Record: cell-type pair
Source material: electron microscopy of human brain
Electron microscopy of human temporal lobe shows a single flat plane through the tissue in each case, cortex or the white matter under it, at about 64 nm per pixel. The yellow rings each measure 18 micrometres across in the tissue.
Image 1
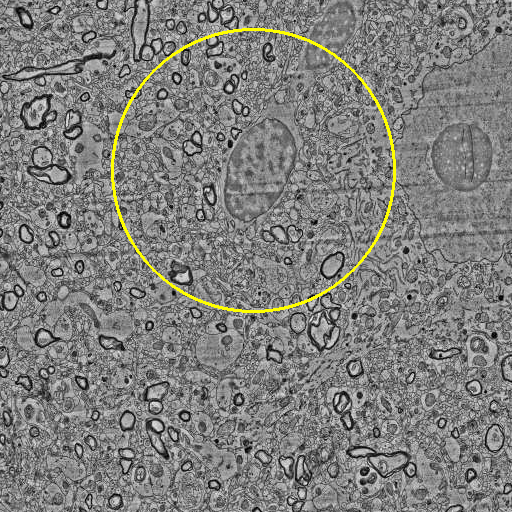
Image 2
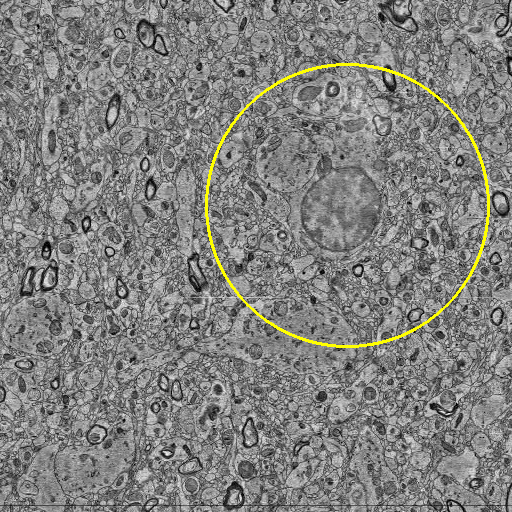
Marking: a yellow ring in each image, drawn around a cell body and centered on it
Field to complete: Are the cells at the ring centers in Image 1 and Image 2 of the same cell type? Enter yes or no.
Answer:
yes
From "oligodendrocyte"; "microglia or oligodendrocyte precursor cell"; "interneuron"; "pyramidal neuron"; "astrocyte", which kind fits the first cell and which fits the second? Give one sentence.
Both pictures show an oligodendrocyte at the centre of the ring.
